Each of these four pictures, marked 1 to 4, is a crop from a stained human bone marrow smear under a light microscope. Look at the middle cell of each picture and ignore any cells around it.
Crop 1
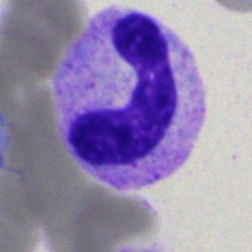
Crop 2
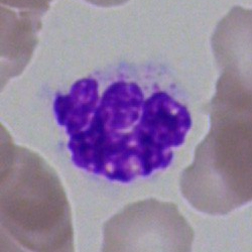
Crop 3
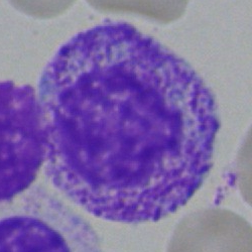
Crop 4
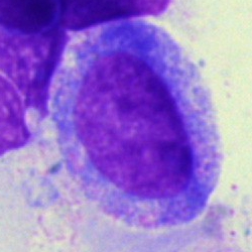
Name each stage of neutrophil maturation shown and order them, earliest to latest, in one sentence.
Ordered from the youngest stage to the most mature, the crops are crop 4 (a promyelocyte), crop 3 (a myelocyte), crop 1 (a band neutrophil) and crop 2 (a segmented neutrophil).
